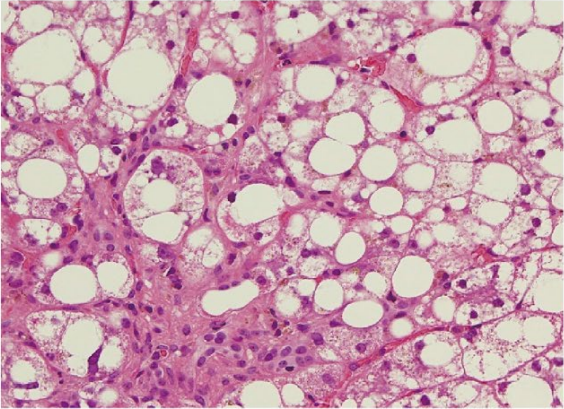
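Liver tissue in which the hepatocytes are distended by large, round, clear fat vacuoles of varying size, many filling most of the cell and pushing the dark purple nuclei to the side. Smaller clear droplets give other cells a foamy pink cytoplasm, and thin pink strands of connective tissue run between the cells.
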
